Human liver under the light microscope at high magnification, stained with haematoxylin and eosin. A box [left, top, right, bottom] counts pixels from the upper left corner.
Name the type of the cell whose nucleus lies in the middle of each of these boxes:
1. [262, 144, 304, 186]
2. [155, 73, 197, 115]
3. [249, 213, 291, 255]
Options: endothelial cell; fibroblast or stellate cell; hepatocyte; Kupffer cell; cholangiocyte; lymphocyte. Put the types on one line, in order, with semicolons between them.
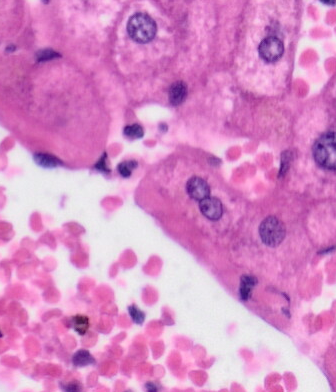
endothelial cell; fibroblast or stellate cell; hepatocyte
